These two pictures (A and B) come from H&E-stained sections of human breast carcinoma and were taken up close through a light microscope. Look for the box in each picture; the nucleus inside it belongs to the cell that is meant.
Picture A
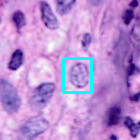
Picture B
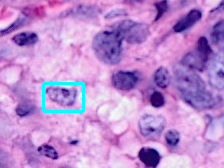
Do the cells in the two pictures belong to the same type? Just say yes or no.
yes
